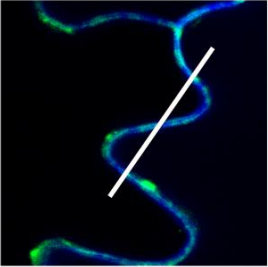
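Leaf epidermal pavement cells with wavy, interlocking borders, seen by their fluorescent outlines. Green and blue signals run together along the cell boundaries, with a few brighter green spots along the rims. The cell interiors are dark.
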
